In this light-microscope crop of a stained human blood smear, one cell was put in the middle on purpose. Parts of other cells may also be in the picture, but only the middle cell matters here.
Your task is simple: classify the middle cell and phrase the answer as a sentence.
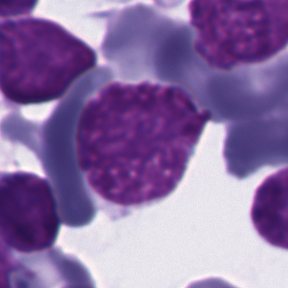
Within this crop, a myeloblast occupies the central position.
